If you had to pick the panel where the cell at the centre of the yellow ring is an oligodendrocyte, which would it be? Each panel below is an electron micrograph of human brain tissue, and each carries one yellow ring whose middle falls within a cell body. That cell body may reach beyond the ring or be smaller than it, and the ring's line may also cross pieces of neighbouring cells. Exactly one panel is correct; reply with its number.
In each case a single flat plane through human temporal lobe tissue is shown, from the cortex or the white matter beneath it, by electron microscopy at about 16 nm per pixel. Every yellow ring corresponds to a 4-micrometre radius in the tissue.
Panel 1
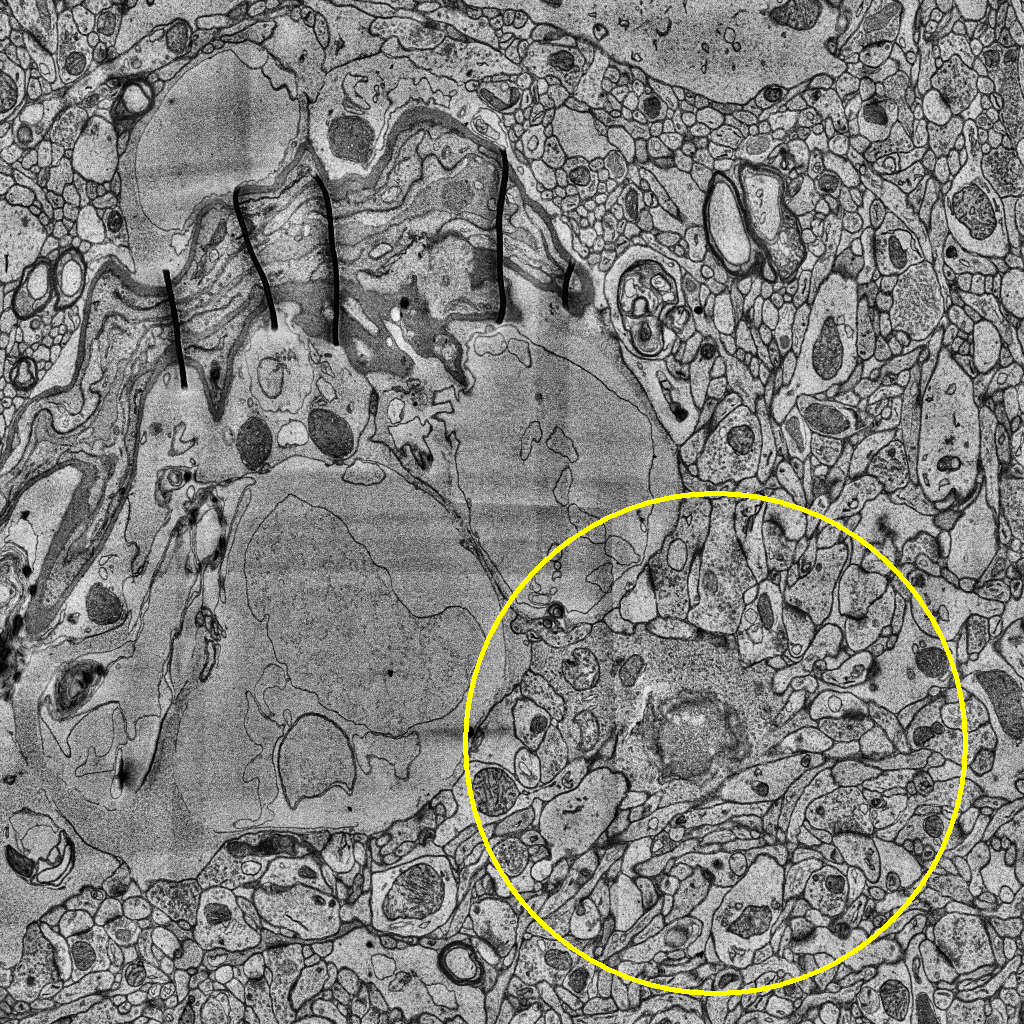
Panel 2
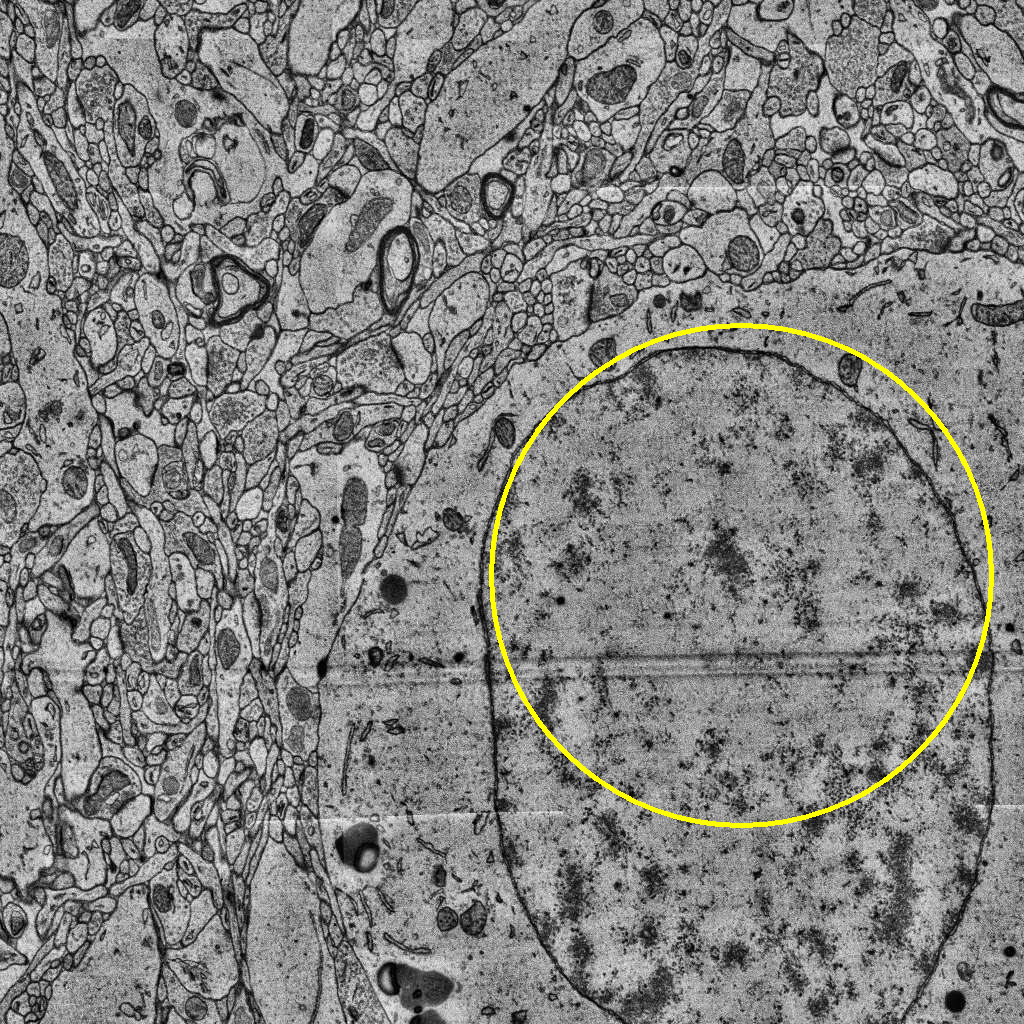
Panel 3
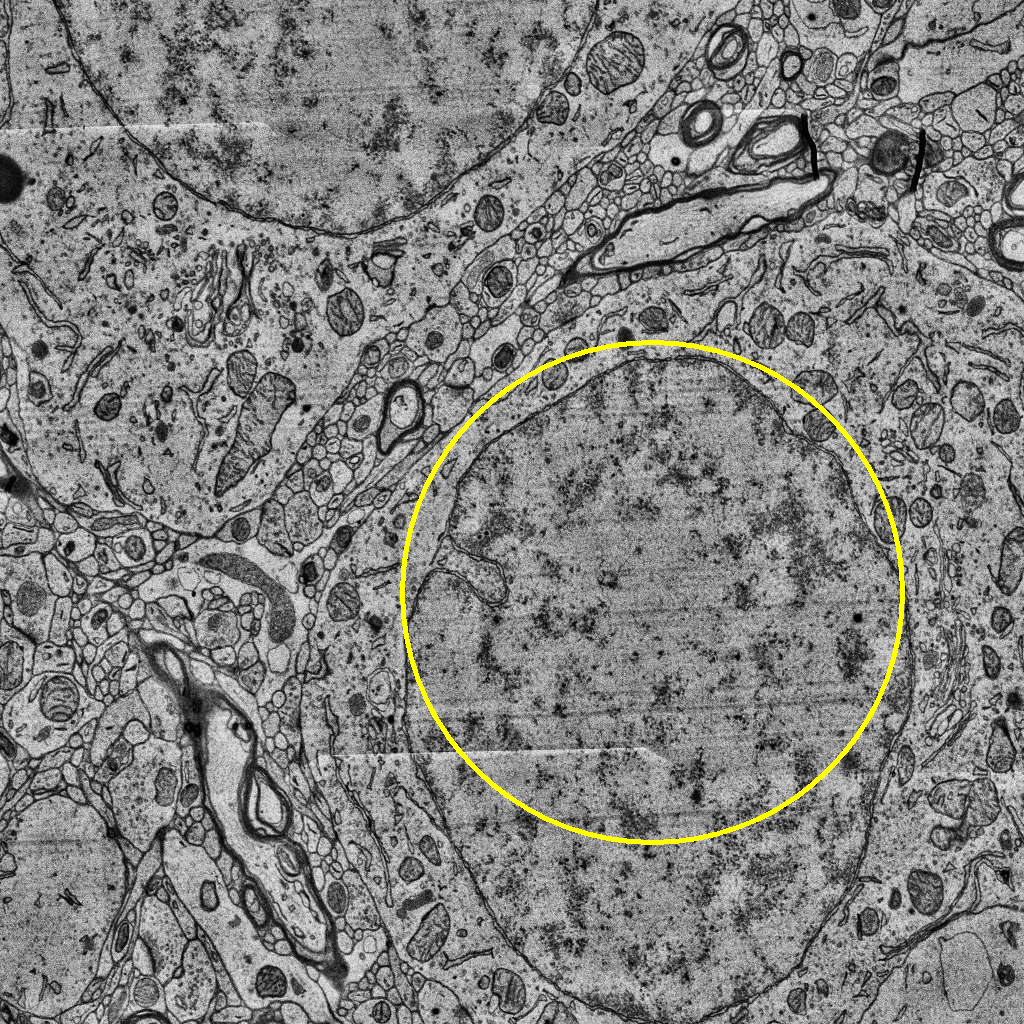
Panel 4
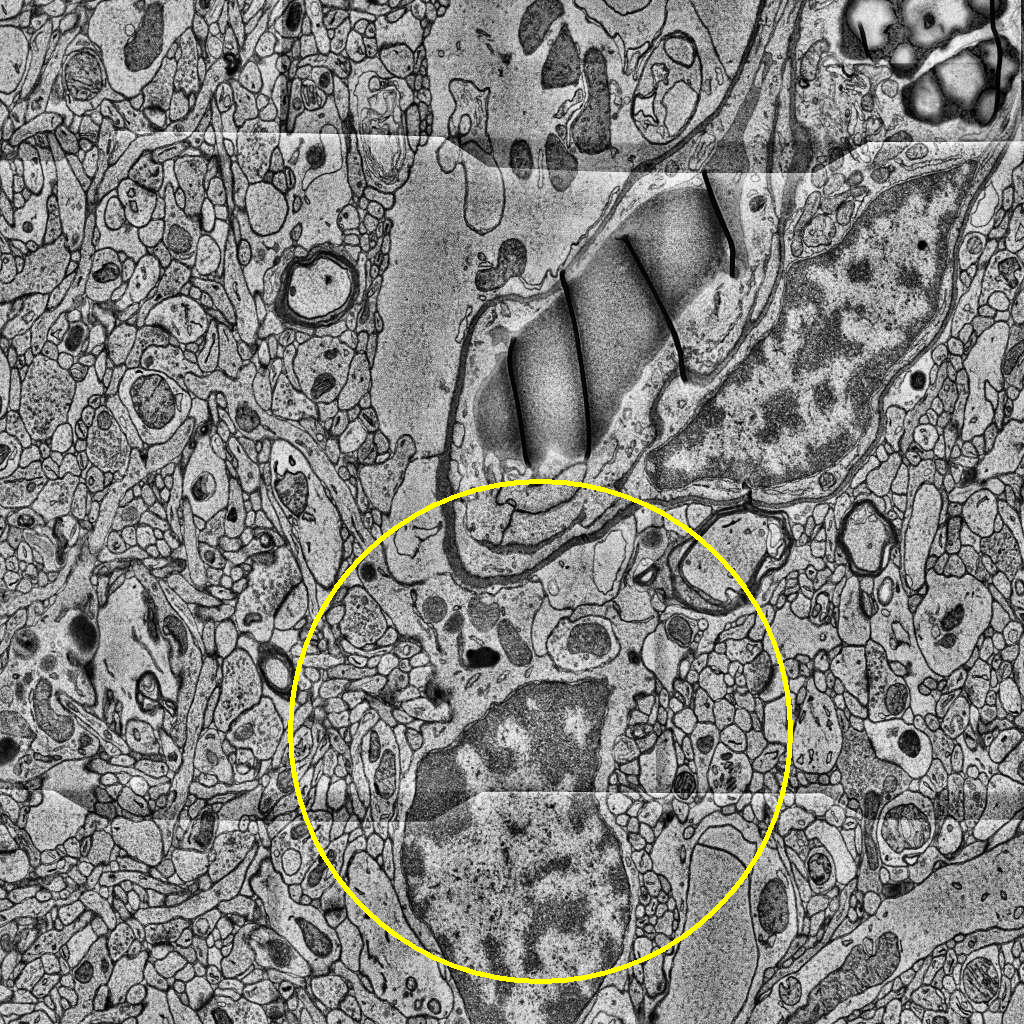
1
